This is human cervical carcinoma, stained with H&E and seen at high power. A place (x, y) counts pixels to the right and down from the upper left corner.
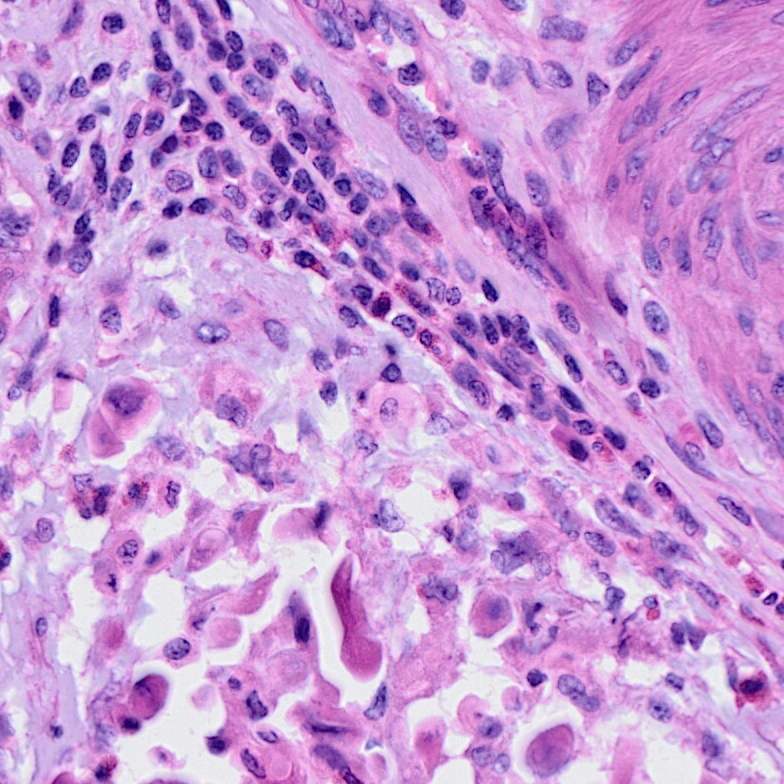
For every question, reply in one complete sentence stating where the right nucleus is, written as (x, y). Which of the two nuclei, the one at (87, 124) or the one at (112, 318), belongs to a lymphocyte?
The nucleus at (87, 124) is the one that belongs to a lymphocyte.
